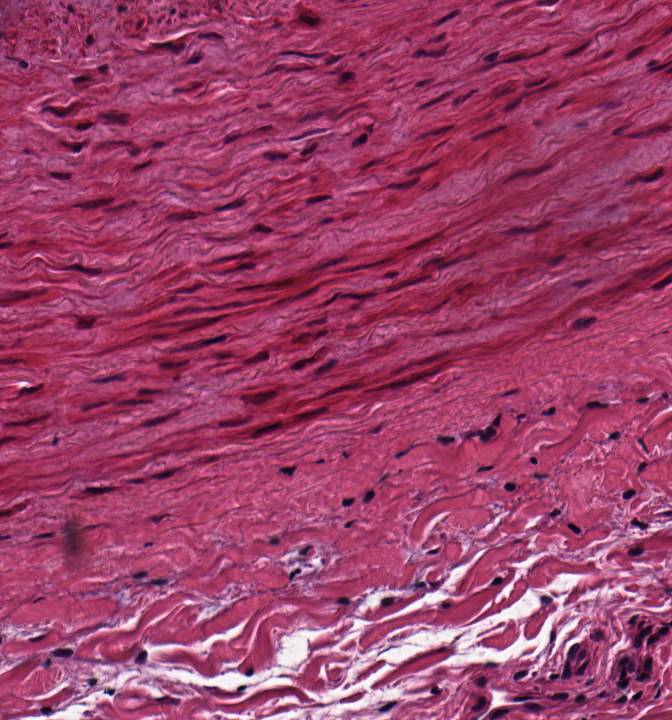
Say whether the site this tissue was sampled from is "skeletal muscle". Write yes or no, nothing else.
no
